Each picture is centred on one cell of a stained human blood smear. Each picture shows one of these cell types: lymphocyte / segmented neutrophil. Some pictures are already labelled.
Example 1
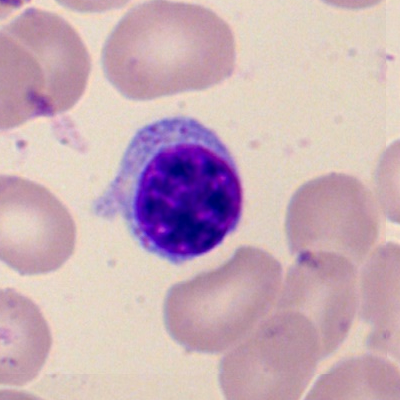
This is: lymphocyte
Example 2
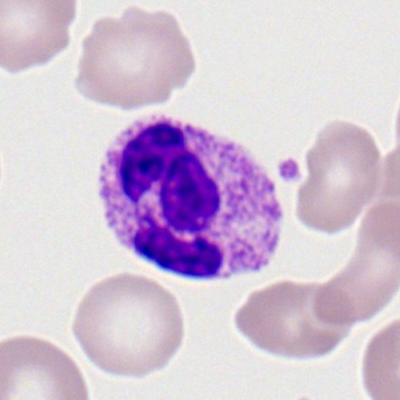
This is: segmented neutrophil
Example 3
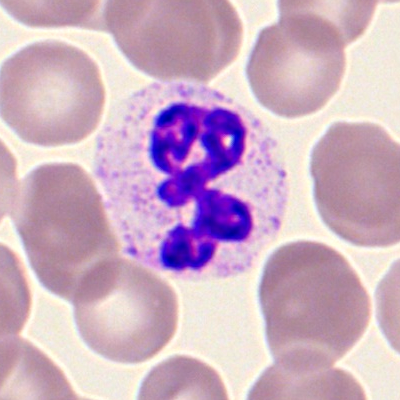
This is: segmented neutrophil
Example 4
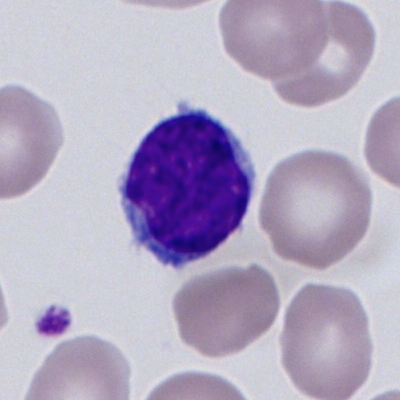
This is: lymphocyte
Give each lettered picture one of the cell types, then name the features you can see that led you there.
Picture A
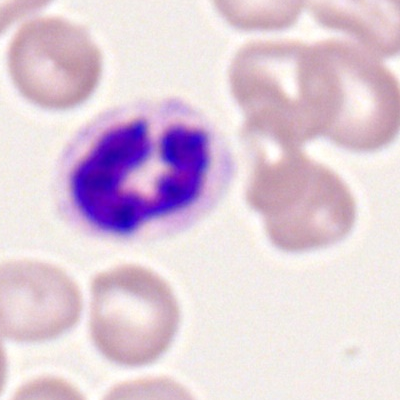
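Label: segmented neutrophil. The nucleus is curved into a horseshoe-like shape around a pale central gap.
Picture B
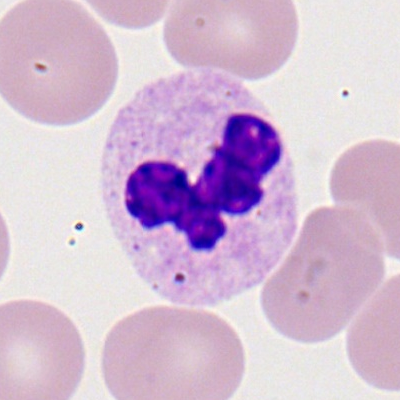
Label: segmented neutrophil. The cytoplasm is plentiful and pale pinkish-lilac.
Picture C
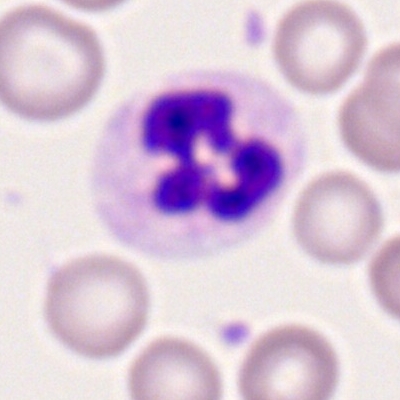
Label: segmented neutrophil. The nucleus is divided into several separate lobes.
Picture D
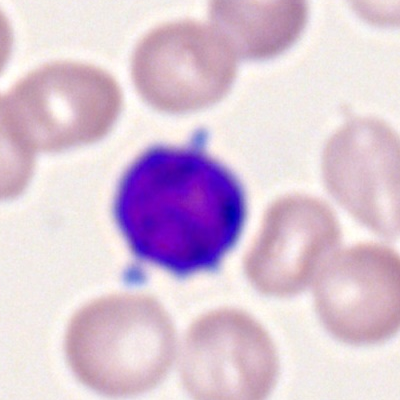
Label: lymphocyte. The nucleus fills almost the whole cell, leaving at most a very thin rim of cytoplasm.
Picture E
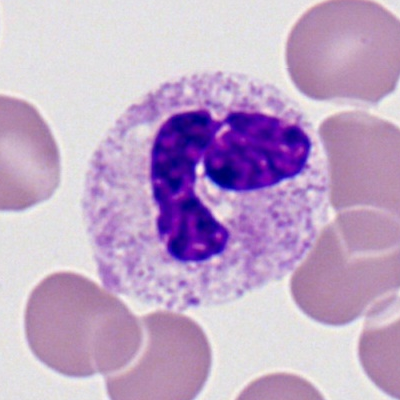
Label: segmented neutrophil. The two nuclear lobes meet near the top of the nucleus.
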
